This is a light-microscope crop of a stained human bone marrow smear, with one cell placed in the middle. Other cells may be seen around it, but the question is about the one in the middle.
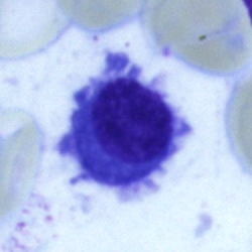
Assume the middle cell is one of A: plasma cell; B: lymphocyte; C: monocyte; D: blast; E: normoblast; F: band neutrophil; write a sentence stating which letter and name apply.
Option A holds, for the cell in the middle is a plasma cell.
